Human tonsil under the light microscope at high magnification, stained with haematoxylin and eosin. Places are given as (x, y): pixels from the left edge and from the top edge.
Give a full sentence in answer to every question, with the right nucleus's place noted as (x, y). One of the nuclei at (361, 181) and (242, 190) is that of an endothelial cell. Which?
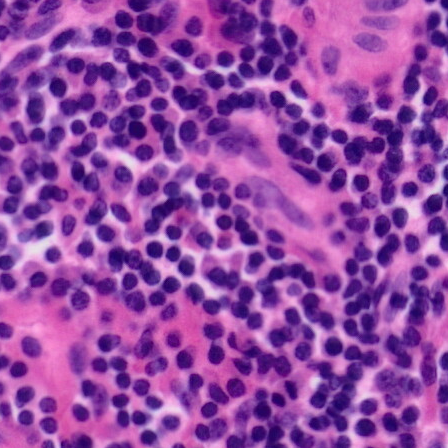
The nucleus at (242, 190), rather than the other one, belongs to an endothelial cell.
